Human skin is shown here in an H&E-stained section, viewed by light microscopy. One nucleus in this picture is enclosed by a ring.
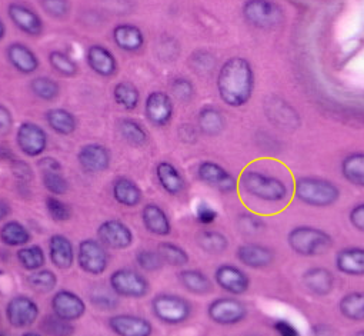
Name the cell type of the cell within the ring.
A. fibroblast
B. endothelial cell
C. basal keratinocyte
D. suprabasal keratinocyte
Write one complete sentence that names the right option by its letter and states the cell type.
Here the right answer is D, with the cell within the ring being a suprabasal keratinocyte.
